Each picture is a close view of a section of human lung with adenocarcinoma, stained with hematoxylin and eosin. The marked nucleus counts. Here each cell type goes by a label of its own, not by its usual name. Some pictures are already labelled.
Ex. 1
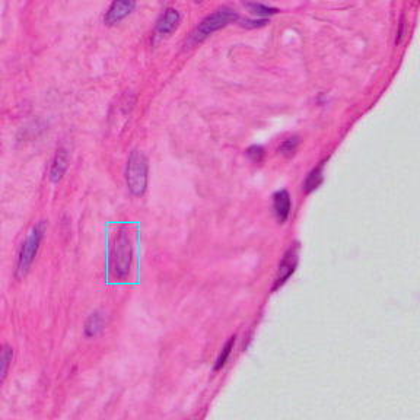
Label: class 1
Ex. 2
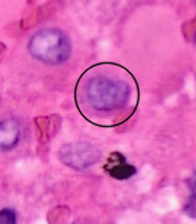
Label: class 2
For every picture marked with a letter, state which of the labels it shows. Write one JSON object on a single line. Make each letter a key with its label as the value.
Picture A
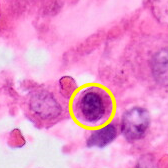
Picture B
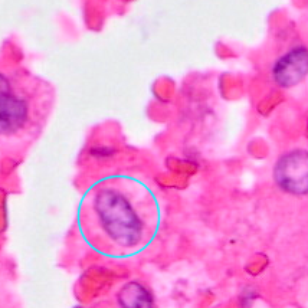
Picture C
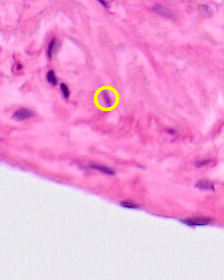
{"A": "class 2", "B": "class 2", "C": "class 1"}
